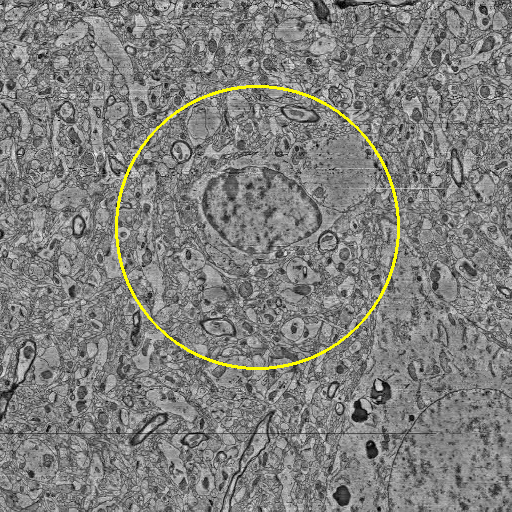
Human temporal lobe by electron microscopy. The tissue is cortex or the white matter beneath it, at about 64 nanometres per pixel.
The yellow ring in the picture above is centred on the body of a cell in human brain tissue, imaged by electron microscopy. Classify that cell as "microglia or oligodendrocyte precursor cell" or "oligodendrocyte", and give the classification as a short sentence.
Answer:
The cell in the middle of the ring is a microglial cell or oligodendrocyte precursor cell.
